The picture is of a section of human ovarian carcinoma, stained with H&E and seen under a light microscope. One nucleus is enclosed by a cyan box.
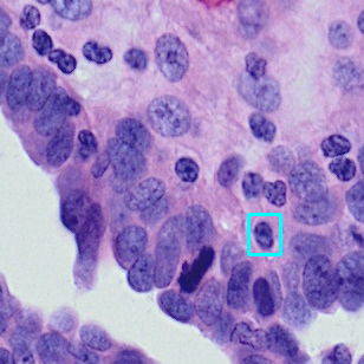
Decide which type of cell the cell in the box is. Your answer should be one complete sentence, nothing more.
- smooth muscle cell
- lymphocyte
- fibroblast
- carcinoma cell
Placed in its cell category, the cell in the box is a lymphocyte.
